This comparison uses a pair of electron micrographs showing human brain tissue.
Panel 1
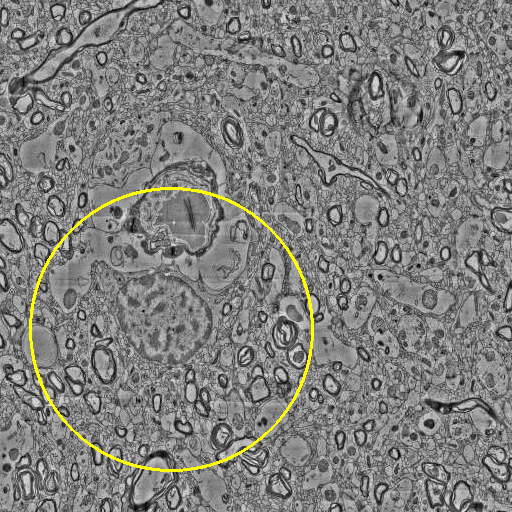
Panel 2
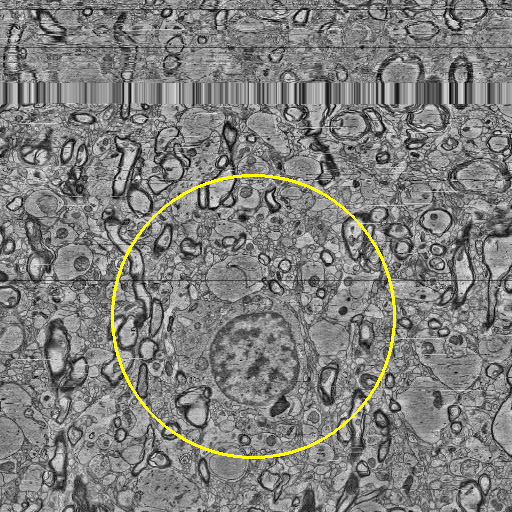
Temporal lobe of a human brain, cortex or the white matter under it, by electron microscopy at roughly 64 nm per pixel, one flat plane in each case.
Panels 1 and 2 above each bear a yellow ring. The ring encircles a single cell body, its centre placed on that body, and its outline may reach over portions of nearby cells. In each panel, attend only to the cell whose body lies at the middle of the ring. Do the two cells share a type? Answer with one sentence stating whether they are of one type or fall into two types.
In Panel 1 and Panel 2, the cells at the centres of the rings are of one type.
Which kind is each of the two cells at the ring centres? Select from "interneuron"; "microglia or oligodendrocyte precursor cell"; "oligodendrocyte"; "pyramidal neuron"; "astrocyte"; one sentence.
Each of the two cells is an oligodendrocyte.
